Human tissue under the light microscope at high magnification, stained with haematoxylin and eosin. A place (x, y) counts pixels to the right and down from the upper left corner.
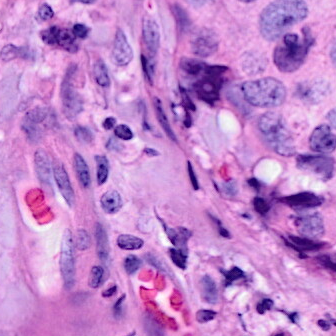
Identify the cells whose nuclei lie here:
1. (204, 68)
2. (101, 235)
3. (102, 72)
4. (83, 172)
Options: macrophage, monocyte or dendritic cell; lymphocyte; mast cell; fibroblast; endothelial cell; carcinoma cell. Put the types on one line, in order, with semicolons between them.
carcinoma cell; endothelial cell; macrophage, monocyte or dendritic cell; endothelial cell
